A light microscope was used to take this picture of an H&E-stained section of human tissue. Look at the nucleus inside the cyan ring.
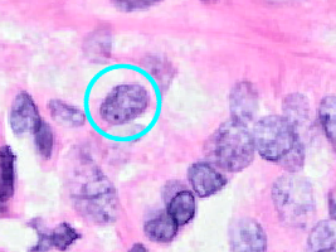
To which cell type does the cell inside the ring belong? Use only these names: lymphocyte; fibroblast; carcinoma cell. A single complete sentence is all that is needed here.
In this preparation, the cell inside the ring is a carcinoma cell.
